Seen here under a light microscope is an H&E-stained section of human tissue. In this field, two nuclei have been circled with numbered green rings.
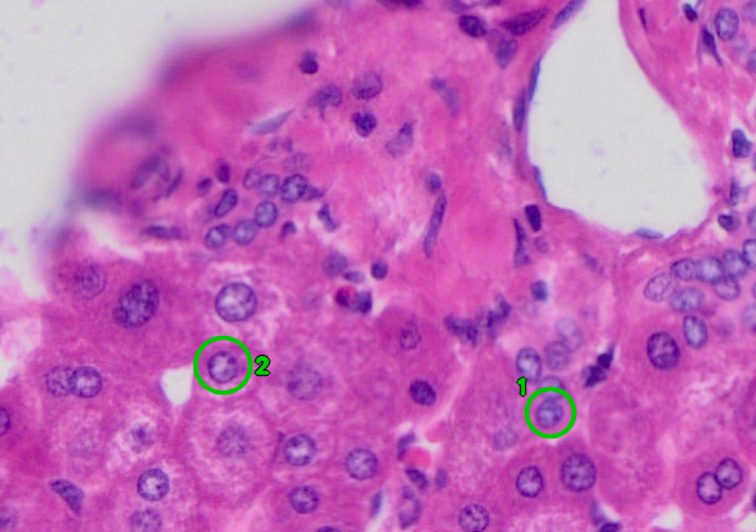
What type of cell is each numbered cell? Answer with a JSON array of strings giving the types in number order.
["cholangiocyte", "hepatocyte"]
